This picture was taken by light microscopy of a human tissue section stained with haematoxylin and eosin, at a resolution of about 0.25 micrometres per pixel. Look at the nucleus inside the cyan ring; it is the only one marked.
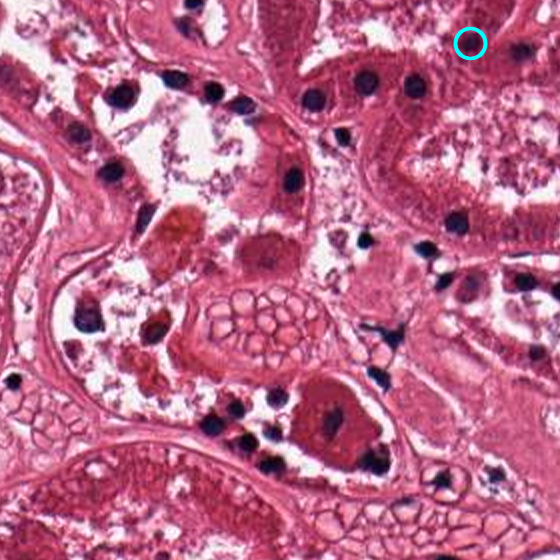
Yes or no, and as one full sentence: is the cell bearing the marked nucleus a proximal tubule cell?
Yes, the marked nucleus is housed in a proximal tubule cell.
